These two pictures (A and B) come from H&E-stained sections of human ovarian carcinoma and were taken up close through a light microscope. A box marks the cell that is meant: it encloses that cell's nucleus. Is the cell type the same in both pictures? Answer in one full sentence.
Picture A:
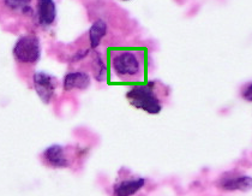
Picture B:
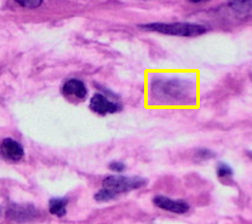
No; the cell in picture A is a “macrophage or monocyte”, while the one in picture B is a fibroblast.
